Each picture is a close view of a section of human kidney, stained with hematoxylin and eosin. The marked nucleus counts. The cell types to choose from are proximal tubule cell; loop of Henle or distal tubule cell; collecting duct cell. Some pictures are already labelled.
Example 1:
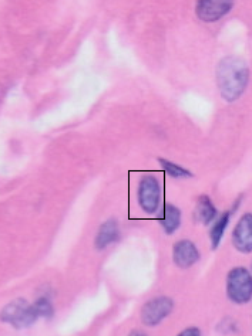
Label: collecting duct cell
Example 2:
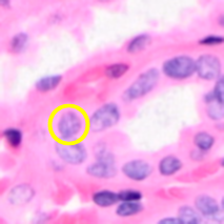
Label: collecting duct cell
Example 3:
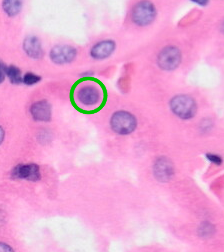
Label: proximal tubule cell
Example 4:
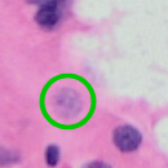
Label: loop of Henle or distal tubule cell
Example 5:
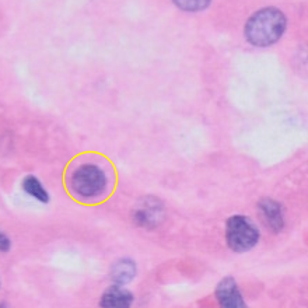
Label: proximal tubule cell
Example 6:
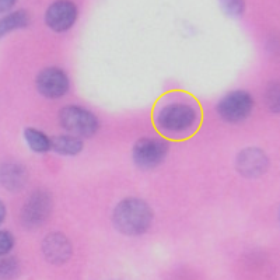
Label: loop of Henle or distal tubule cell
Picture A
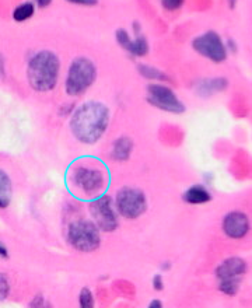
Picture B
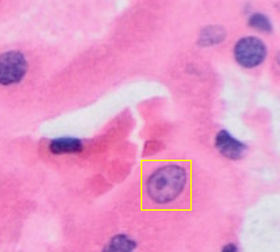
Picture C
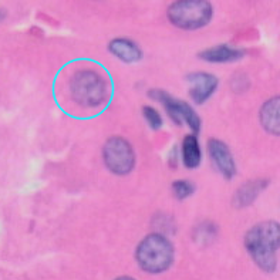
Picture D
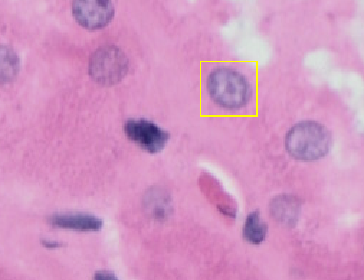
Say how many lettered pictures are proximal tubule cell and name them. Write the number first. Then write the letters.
3, namely B, C, D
